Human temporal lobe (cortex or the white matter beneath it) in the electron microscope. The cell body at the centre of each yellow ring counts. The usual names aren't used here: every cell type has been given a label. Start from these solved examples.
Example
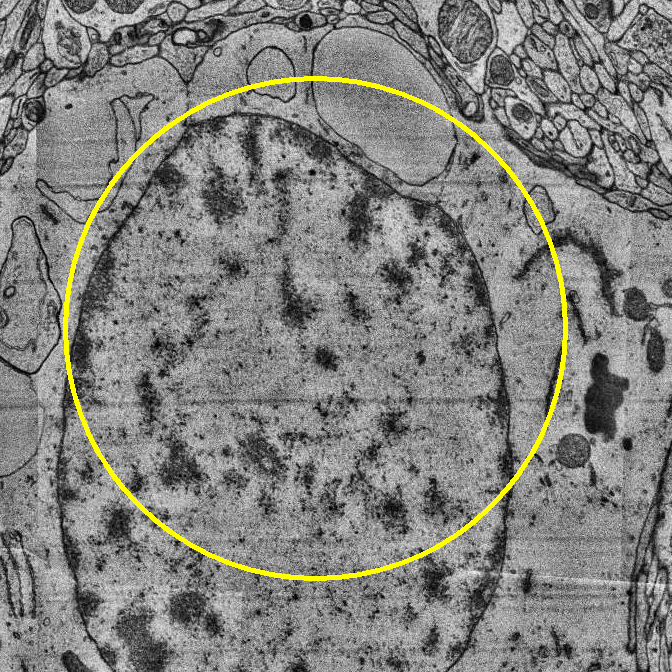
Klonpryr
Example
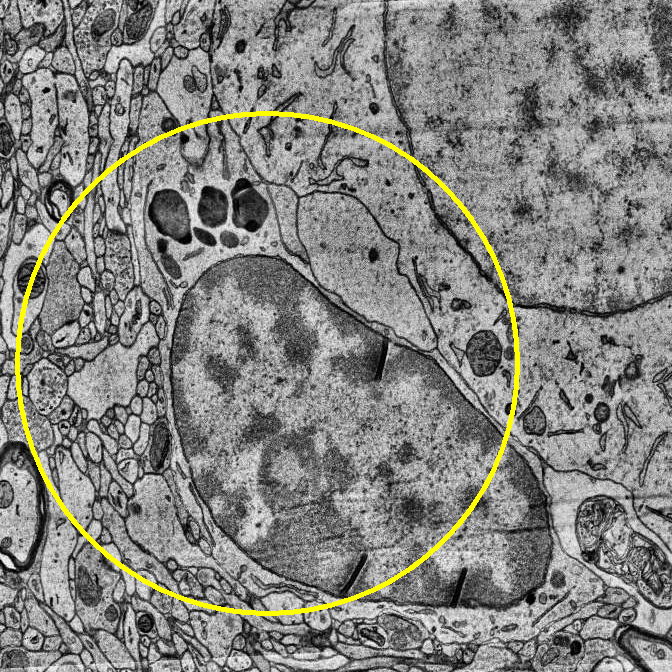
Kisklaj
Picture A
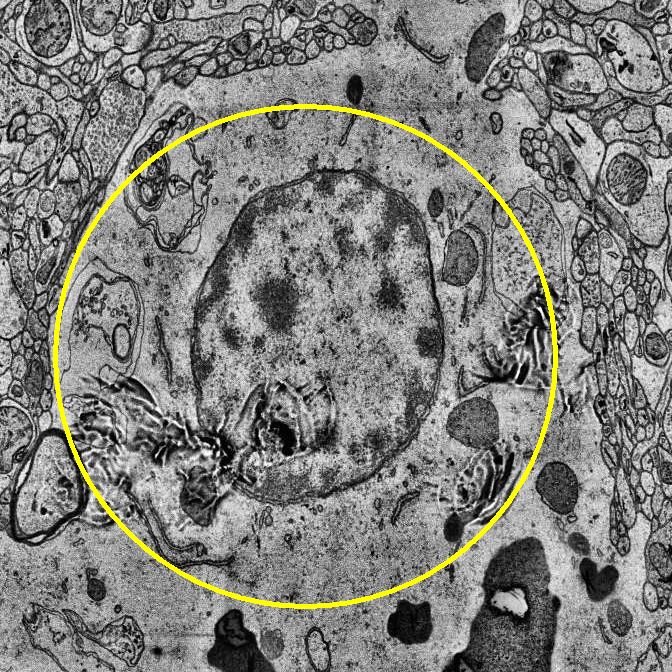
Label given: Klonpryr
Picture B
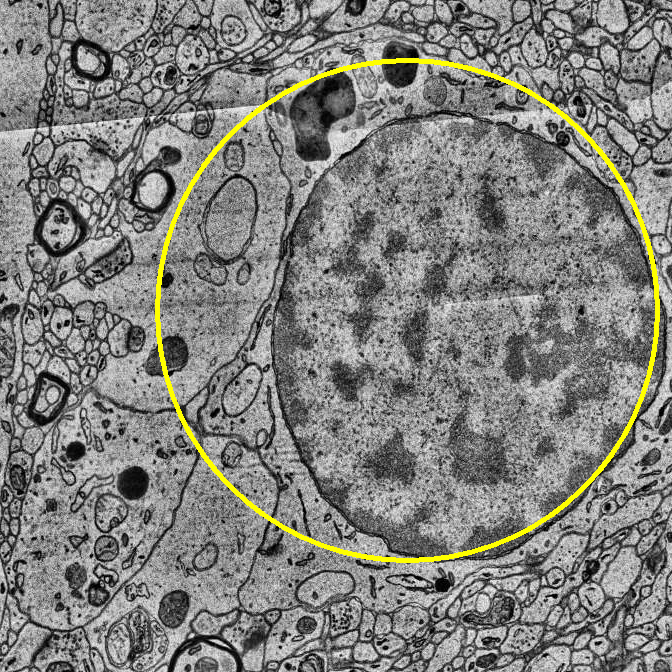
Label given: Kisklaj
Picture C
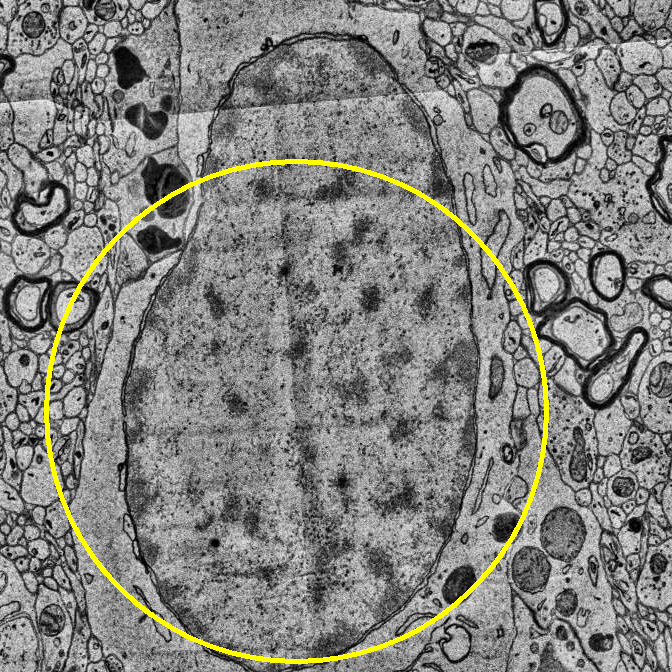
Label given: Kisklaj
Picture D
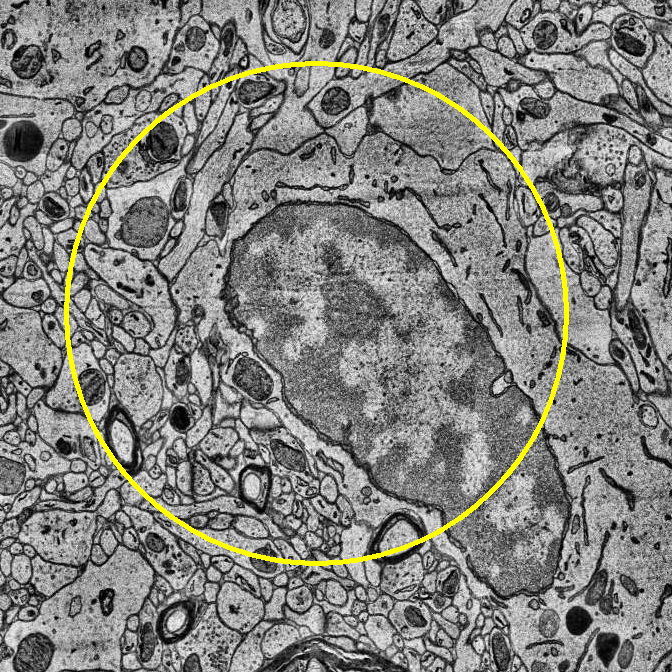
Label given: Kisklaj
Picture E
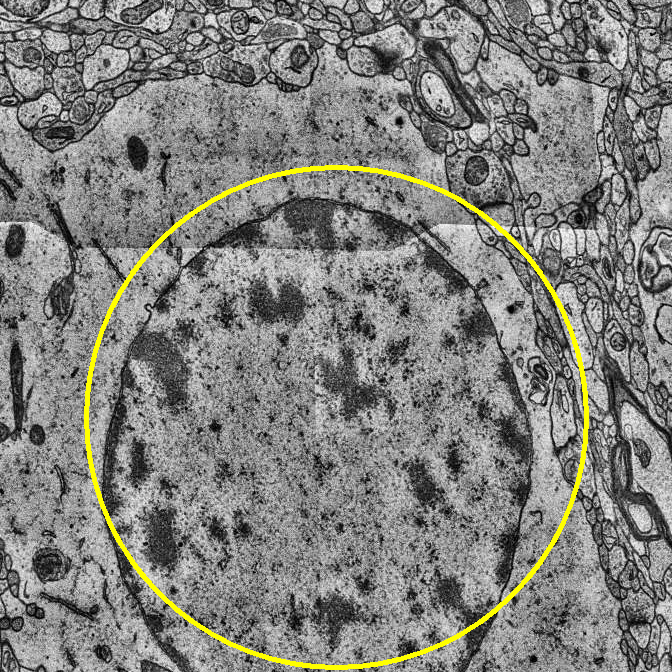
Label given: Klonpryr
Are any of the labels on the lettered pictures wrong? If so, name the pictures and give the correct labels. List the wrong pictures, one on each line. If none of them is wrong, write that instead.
Every label is right.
